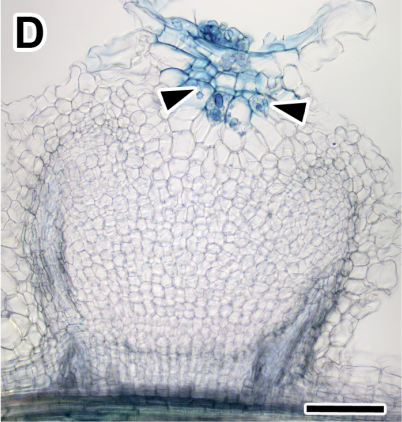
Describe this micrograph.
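This longitudinal section of a root nodule shows a rounded body of many small, pale, polygonal cells arising from the root at its base. The central part of the nodule remains empty: its cells are thin-walled and unstained, with no densely filled cells. Faint streaks of vascular tissue run up the sides near the base.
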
